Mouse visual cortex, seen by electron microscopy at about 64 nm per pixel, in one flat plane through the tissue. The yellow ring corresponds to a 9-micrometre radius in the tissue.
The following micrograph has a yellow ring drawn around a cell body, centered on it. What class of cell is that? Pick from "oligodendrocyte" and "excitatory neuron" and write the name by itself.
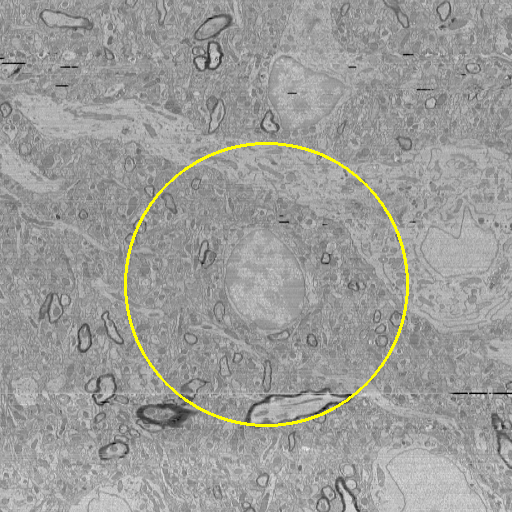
oligodendrocyte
